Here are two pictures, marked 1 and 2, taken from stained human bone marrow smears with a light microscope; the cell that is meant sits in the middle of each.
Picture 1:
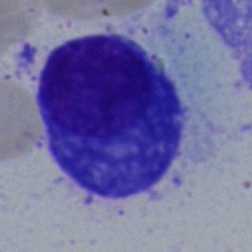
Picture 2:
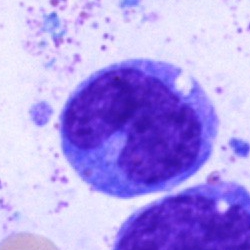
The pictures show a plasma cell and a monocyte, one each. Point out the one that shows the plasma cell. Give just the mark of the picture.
1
